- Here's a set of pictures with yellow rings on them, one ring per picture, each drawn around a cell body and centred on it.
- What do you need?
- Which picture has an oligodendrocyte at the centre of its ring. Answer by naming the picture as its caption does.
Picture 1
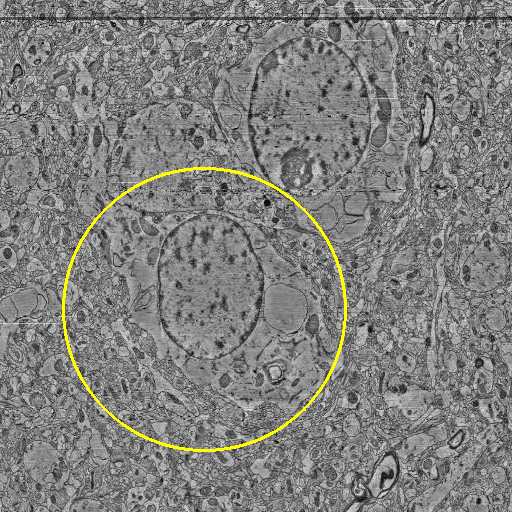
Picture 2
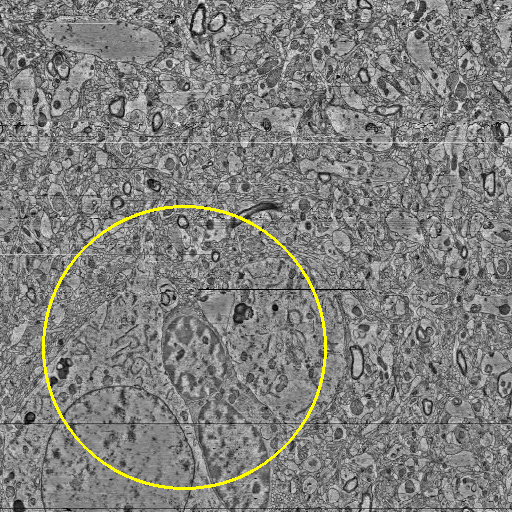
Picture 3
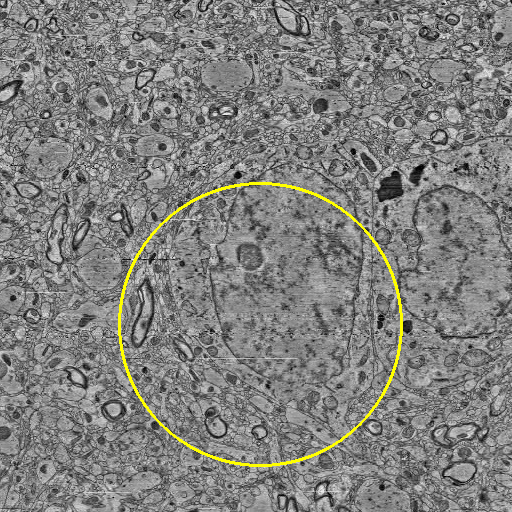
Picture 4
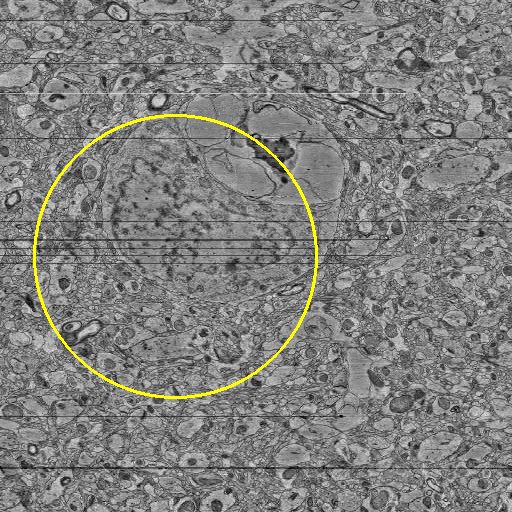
Picture 2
